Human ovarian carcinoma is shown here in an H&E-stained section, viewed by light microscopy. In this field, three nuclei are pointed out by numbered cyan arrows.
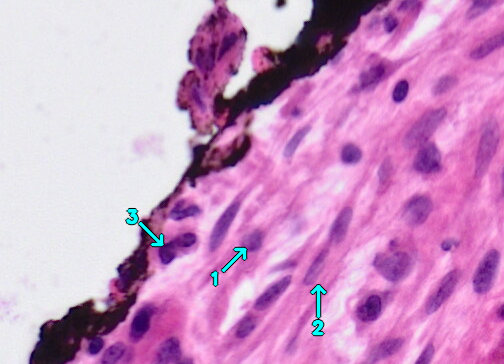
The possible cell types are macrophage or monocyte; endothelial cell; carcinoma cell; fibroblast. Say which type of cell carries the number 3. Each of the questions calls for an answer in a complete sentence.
In the tissue shown, cell 3 is a macrophage or monocyte.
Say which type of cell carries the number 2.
The correct label for cell 2 is a fibroblast.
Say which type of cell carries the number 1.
It is as a fibroblast that the cell numbered 1 is identified.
